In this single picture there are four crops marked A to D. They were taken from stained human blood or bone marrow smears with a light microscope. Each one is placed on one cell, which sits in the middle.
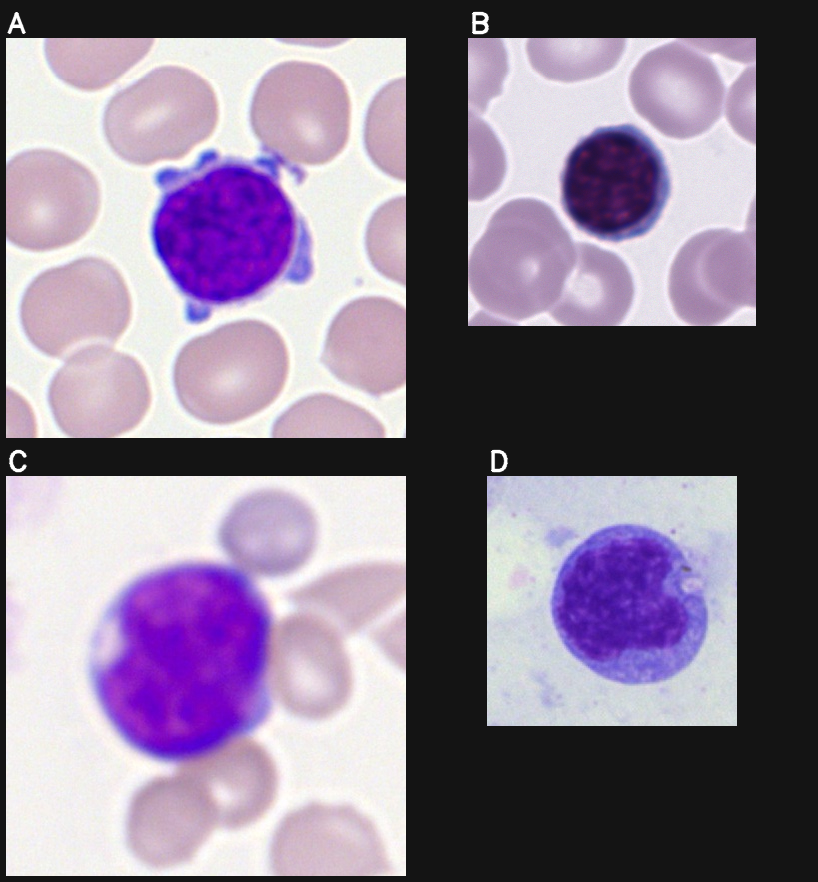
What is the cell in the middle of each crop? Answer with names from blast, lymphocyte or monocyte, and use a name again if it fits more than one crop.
A: lymphocyte
B: lymphocyte
C: blast
D: monocyte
